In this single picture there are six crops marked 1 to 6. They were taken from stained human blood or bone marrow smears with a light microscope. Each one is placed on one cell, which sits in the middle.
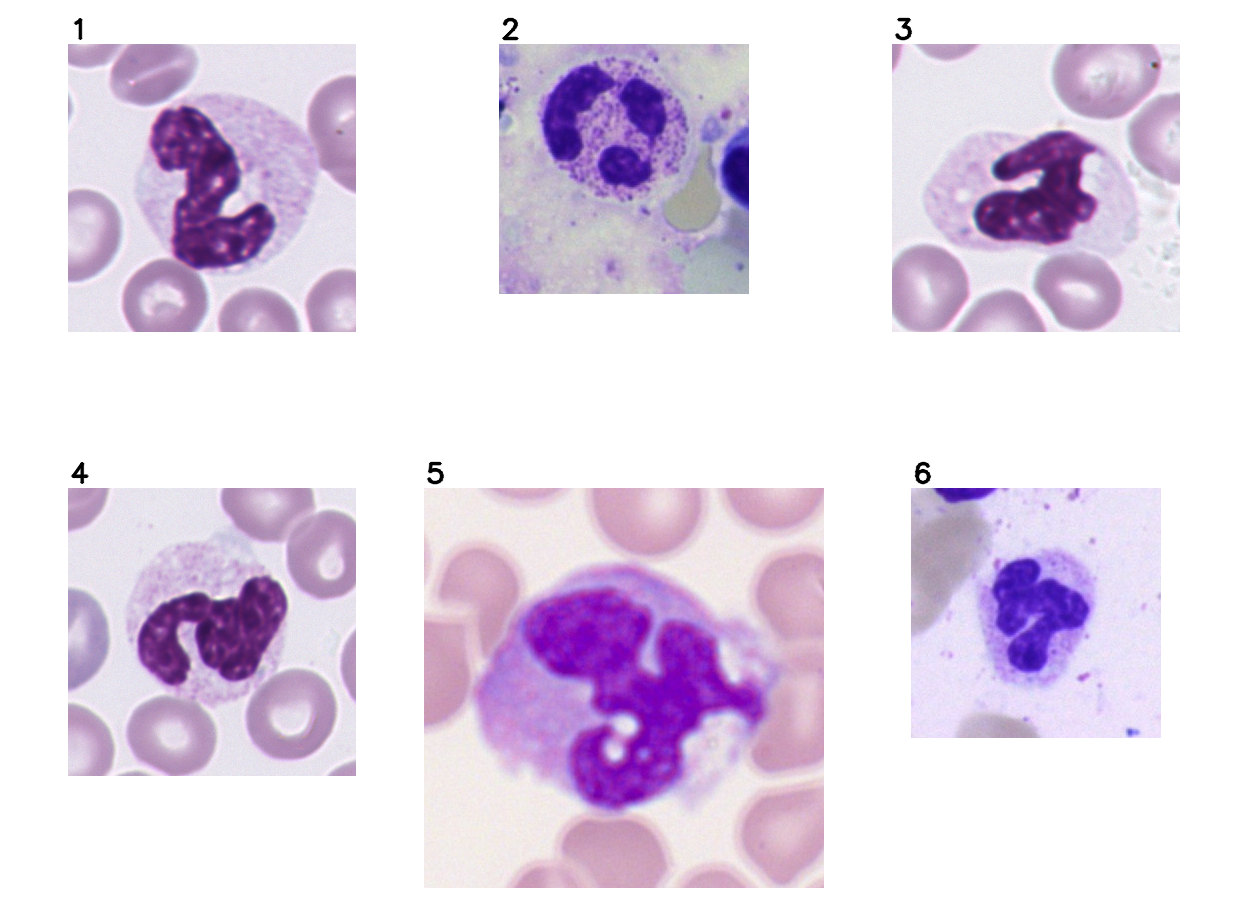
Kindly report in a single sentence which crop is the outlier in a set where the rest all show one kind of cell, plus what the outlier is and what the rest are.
Apart from crop 5, a monocyte, the crops all show segmented neutrophils.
